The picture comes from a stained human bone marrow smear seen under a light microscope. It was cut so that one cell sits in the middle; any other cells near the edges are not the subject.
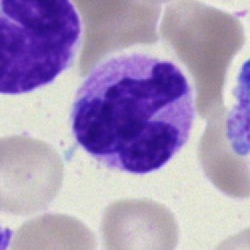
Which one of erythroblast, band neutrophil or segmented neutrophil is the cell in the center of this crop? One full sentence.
As for the central cell, it is a band neutrophil.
